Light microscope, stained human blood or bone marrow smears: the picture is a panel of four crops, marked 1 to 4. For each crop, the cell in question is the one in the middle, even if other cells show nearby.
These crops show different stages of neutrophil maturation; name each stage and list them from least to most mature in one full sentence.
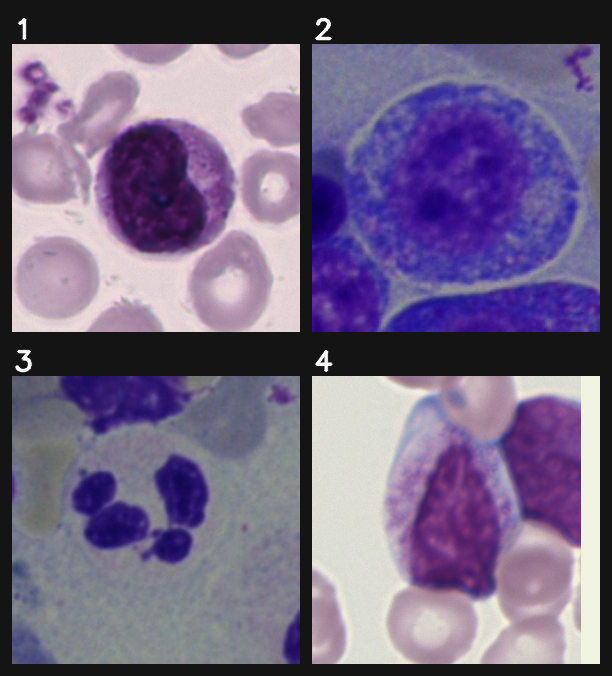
Listed in order of increasing maturity, the crops are crop 2 (a promyelocyte), crop 4 (a myelocyte), crop 1 (a metamyelocyte) and crop 3 (a segmented neutrophil).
